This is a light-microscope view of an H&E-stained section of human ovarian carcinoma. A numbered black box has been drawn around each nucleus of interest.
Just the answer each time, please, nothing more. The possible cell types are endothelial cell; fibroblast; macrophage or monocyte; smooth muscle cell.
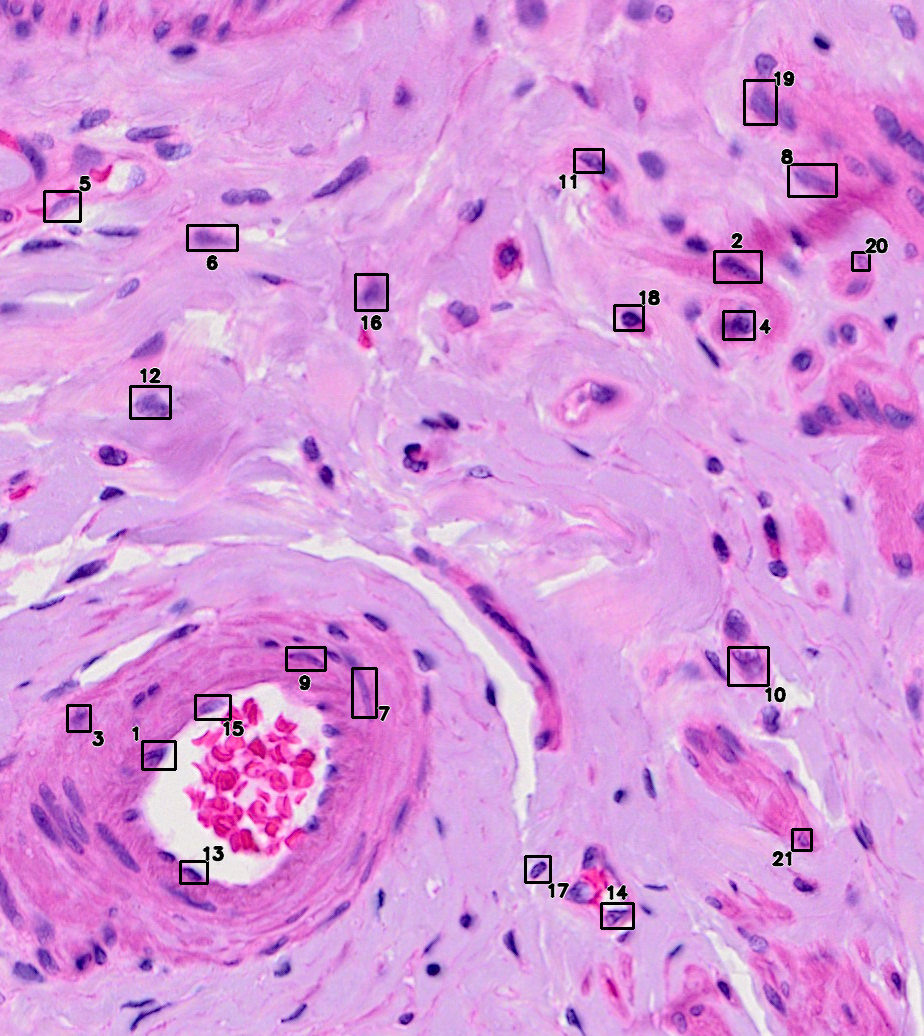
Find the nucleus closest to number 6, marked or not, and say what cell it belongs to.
macrophage or monocyte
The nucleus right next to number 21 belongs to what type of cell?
smooth muscle cell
